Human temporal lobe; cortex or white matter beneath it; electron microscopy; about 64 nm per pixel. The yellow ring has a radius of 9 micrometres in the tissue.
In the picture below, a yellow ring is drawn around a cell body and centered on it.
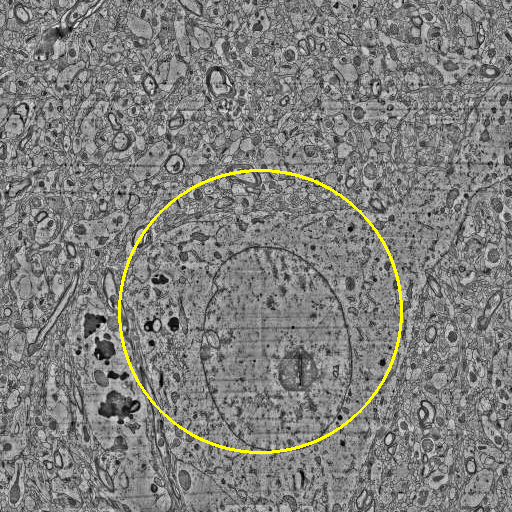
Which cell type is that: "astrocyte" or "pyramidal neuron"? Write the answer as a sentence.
The cell centered in the ring is a pyramidal neuron.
